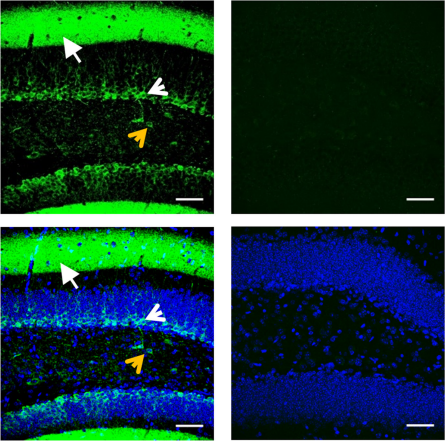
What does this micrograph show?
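This is the dentate gyrus, with curved bands of densely packed granule cells seen by their crowded blue nuclei. In the left column the granule cell bodies are outlined in green, and an outer molecular layer forms a broad, very bright green band beyond them. In the region between the cell bands lie scattered cells and thin green processes. The right column shows the same bands of blue nuclei without green label.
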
